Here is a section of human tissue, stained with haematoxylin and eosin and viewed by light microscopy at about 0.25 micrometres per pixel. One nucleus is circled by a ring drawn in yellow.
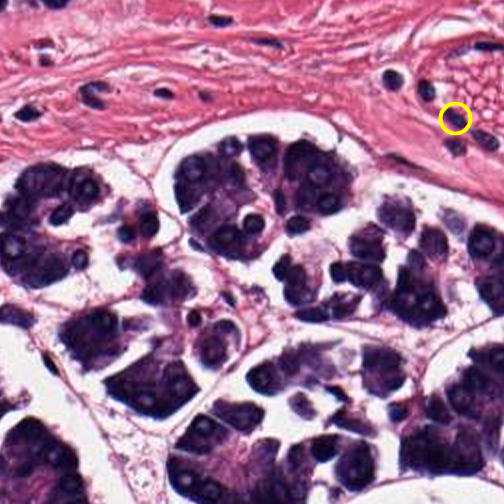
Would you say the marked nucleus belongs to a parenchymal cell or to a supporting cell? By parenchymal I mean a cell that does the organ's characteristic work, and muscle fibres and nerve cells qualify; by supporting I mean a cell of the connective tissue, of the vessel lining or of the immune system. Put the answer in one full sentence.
What the marked nucleus belongs to is a supporting cell.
